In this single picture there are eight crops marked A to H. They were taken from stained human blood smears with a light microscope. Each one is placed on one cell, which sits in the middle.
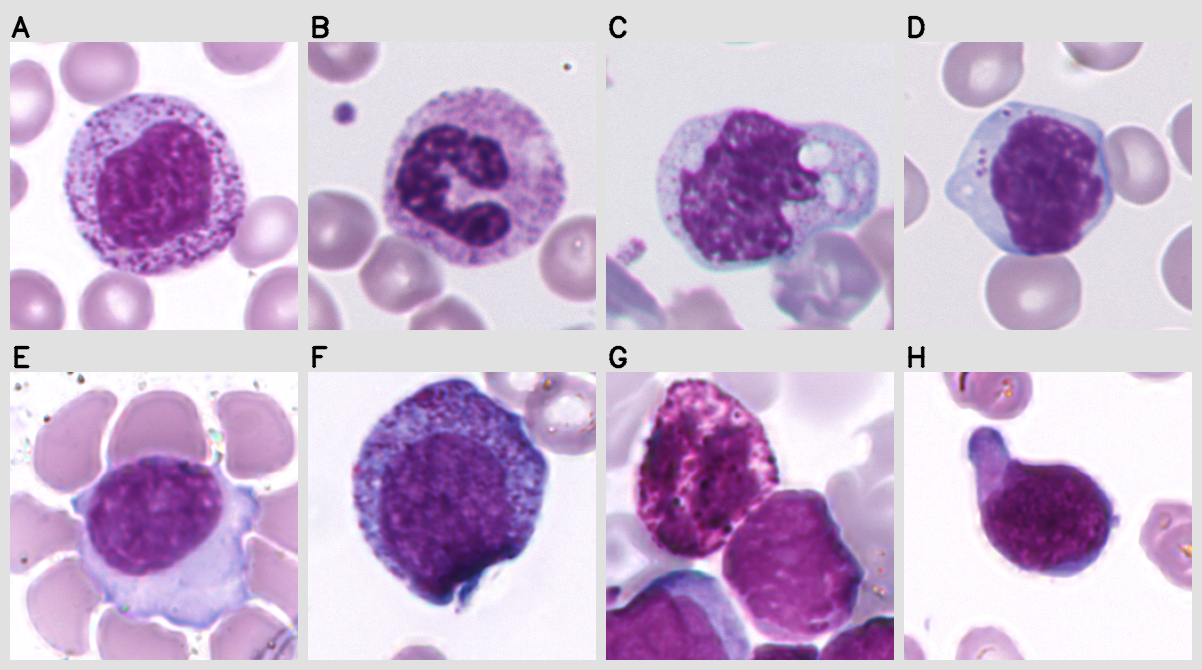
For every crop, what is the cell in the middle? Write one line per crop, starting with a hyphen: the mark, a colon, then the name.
- A: myelocyte
- B: segmented neutrophil
- C: monocyte
- D: large granular lymphocyte
- E: plasma cell
- F: promyelocyte
- G: basophil
- H: atypical promyelocyte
